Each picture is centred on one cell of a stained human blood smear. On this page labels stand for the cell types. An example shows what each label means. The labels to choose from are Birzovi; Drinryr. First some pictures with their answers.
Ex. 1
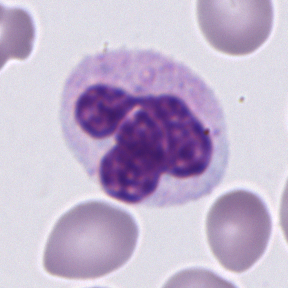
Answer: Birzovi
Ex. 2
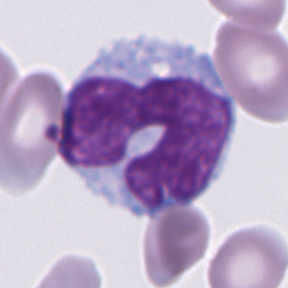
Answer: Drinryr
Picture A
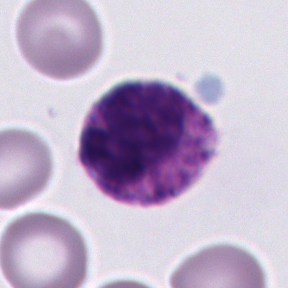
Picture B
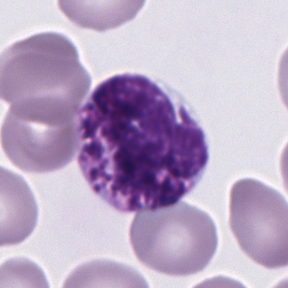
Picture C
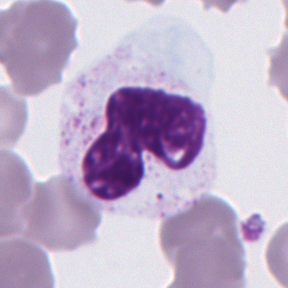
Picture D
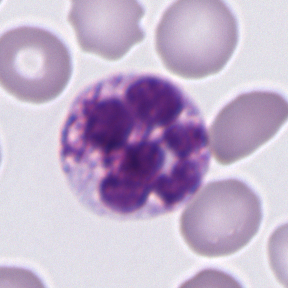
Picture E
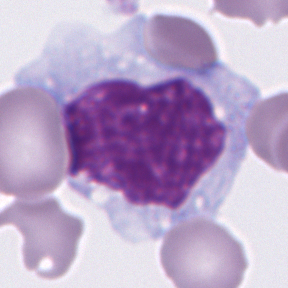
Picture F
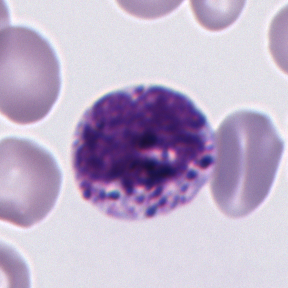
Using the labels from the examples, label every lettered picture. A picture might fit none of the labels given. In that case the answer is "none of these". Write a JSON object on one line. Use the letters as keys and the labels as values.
{"A": "none of these", "B": "none of these", "C": "Birzovi", "D": "none of these", "E": "Drinryr", "F": "none of these"}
